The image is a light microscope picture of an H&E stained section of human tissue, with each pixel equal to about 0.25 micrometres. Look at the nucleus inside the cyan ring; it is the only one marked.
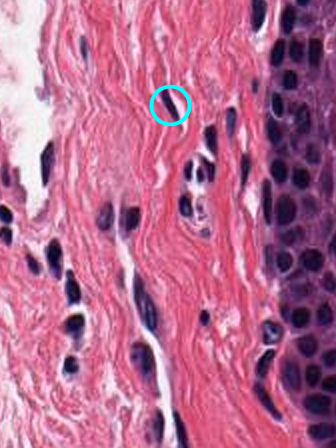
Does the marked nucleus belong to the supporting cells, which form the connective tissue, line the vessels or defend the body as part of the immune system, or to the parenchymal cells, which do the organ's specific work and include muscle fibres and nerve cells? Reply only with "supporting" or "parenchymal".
supporting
